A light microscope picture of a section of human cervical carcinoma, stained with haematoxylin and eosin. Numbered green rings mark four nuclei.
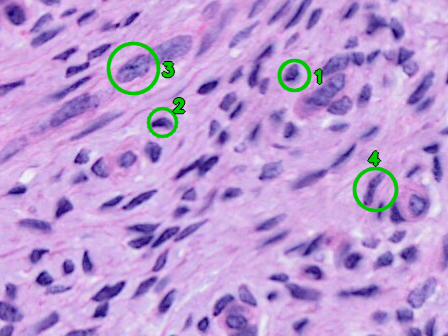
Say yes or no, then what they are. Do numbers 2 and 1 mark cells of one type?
Yes, and to be precise, cells 2 and 1 are both fibroblasts.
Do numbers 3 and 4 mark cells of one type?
No, listen: cell 3 is an endothelial cell and cell 4 is a fibroblast.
